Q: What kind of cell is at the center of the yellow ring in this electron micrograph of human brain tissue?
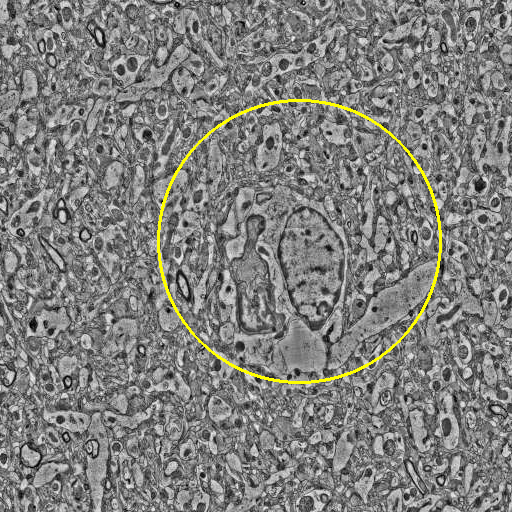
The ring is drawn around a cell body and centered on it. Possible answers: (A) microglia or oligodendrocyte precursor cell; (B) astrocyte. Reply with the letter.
A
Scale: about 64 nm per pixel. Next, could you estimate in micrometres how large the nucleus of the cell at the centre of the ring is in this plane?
The nucleus measures about 6 by 4 micrometres, so it is clearly longer than it is wide in this plane.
